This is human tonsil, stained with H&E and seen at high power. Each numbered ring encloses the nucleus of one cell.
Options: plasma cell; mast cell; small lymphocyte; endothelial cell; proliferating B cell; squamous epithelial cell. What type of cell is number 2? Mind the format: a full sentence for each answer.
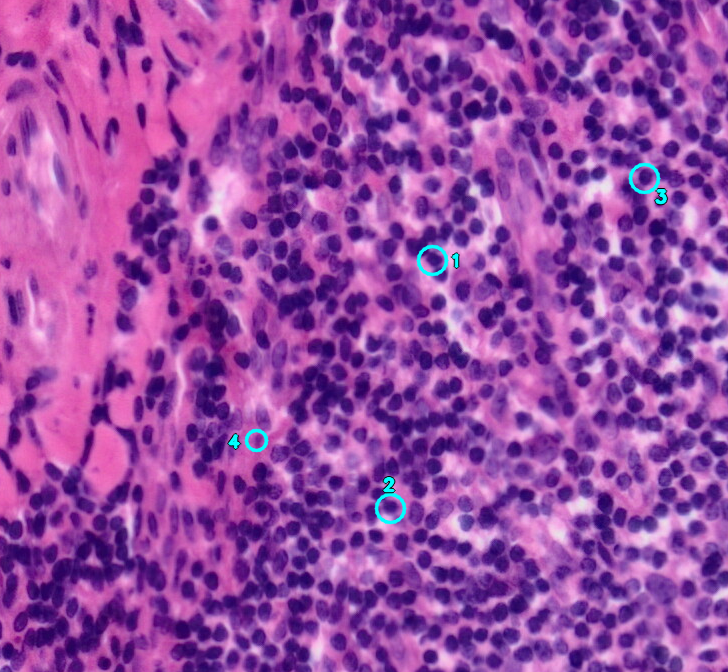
Cell number 2 in this section is a small lymphocyte.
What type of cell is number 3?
The cell carrying label 3 is identified as a small lymphocyte.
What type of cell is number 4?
The cell identified by the number 4 is an endothelial cell.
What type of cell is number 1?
The cell that goes by number 1 is a small lymphocyte.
